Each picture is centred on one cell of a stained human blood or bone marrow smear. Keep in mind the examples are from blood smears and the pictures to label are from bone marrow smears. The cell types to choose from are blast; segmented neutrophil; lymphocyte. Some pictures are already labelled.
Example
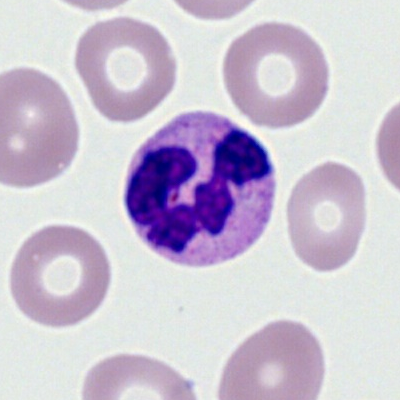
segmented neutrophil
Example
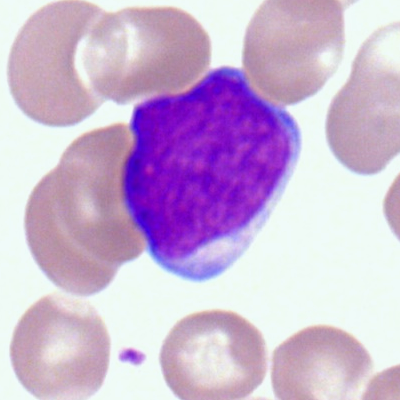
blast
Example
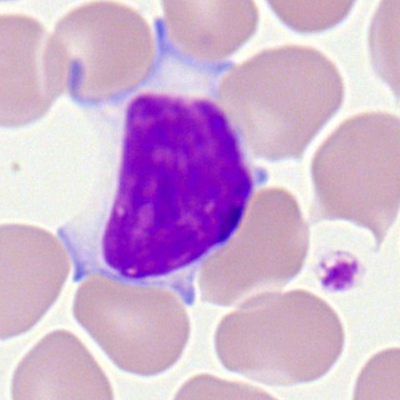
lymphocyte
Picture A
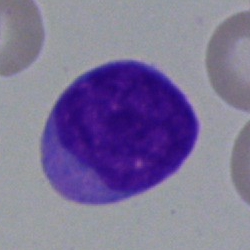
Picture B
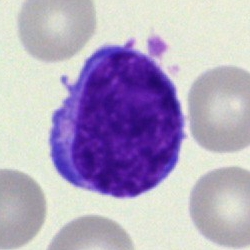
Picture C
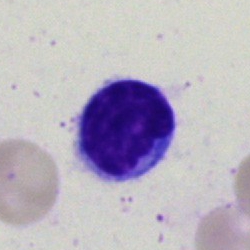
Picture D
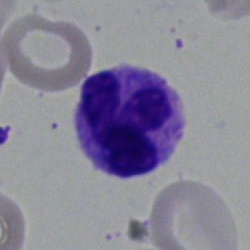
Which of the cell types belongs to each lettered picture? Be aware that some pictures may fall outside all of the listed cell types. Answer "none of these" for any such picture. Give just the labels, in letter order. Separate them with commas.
blast, blast, lymphocyte, segmented neutrophil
